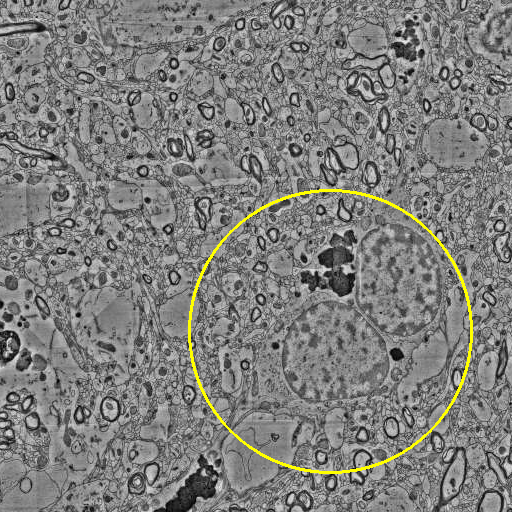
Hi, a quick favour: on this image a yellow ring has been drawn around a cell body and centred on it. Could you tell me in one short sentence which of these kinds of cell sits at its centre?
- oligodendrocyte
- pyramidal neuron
The ring is centred on an oligodendrocyte.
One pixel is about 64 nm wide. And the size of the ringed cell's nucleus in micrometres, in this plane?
The nucleus appears about 7 micrometres across in this plane.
